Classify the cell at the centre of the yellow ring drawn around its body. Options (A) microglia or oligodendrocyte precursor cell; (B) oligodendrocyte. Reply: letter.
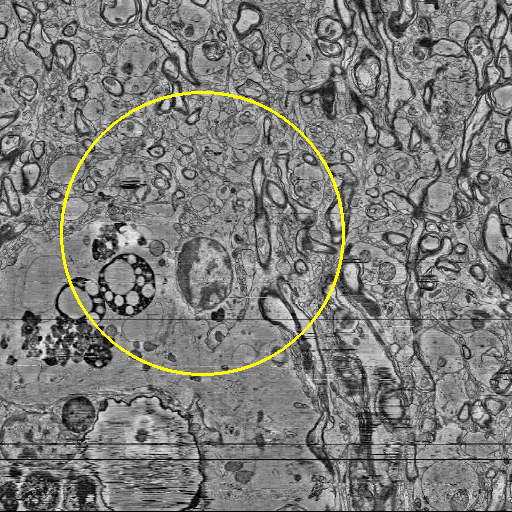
A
